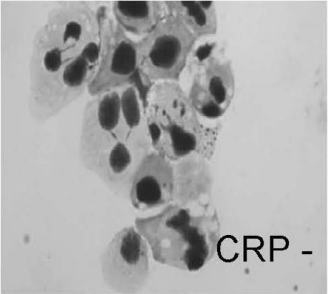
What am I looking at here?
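A cluster of neutrophils in which each cell has a dark-stained nucleus set in pale grey cytoplasm. Many nuclei are segmented into lobes joined by thin strands, while some are rounded and compact. A few cells show small pale vacuoles in the cytoplasm.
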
